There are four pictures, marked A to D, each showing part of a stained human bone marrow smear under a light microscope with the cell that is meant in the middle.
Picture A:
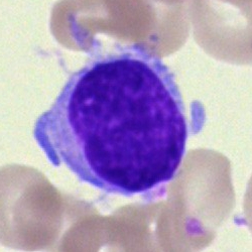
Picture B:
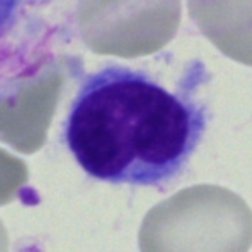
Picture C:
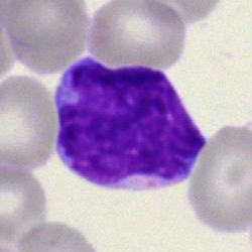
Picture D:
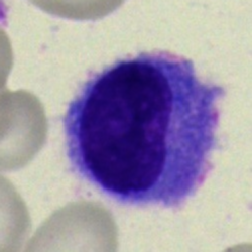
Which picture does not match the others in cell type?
C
